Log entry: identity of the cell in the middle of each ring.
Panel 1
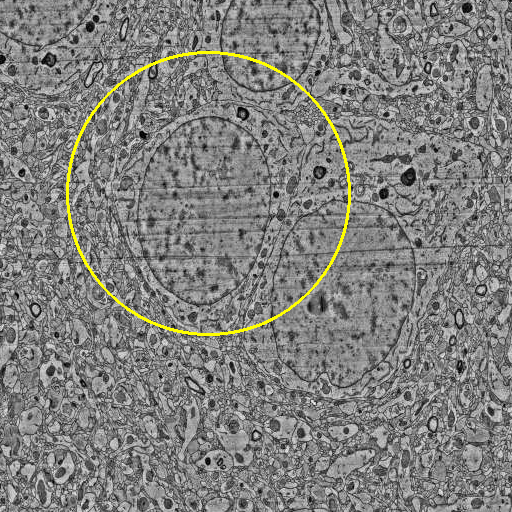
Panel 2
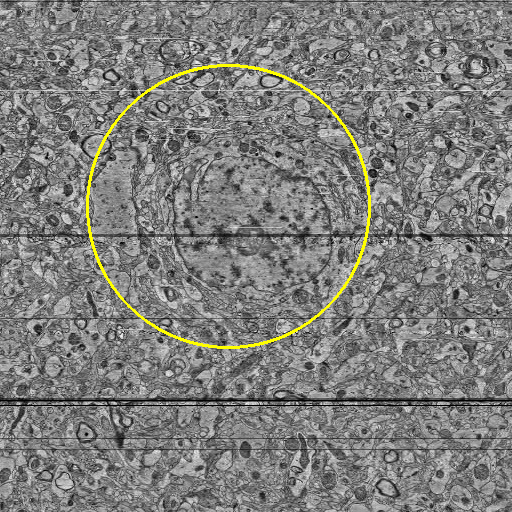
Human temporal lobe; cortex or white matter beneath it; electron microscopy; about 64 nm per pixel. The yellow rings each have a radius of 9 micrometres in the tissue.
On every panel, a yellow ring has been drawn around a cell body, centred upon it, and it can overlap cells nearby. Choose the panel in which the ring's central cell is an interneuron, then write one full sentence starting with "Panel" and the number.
Panel 2 shows the requested cell sitting in the middle of its ring.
